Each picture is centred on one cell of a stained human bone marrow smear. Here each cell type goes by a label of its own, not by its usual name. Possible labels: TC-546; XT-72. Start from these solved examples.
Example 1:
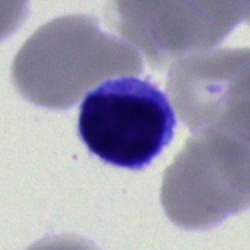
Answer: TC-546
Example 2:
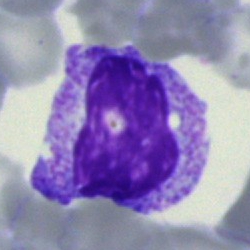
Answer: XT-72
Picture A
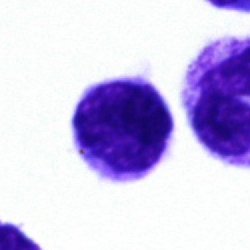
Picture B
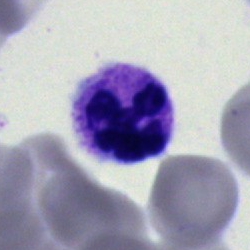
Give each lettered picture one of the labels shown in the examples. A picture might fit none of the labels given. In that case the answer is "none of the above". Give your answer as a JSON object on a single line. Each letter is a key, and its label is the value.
{"A": "TC-546", "B": "none of the above"}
